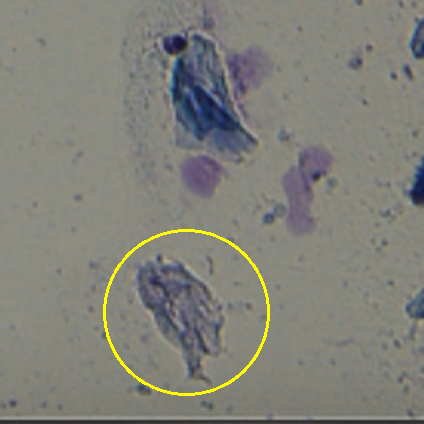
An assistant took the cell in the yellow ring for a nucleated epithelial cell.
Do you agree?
I disagree, it is a cornified epithelial cell.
